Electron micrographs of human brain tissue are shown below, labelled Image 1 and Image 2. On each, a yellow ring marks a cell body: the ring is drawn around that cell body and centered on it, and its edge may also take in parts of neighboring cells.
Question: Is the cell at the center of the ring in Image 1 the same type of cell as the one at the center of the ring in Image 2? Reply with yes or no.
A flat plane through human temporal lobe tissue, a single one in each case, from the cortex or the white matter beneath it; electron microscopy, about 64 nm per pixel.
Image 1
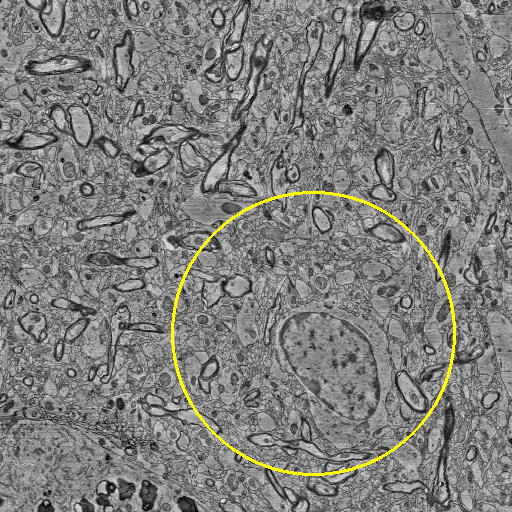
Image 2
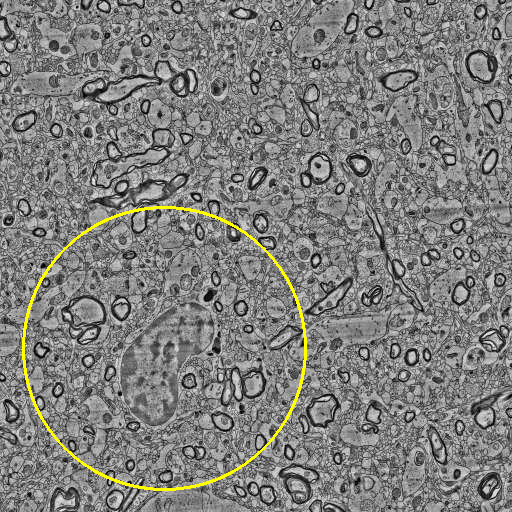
yes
